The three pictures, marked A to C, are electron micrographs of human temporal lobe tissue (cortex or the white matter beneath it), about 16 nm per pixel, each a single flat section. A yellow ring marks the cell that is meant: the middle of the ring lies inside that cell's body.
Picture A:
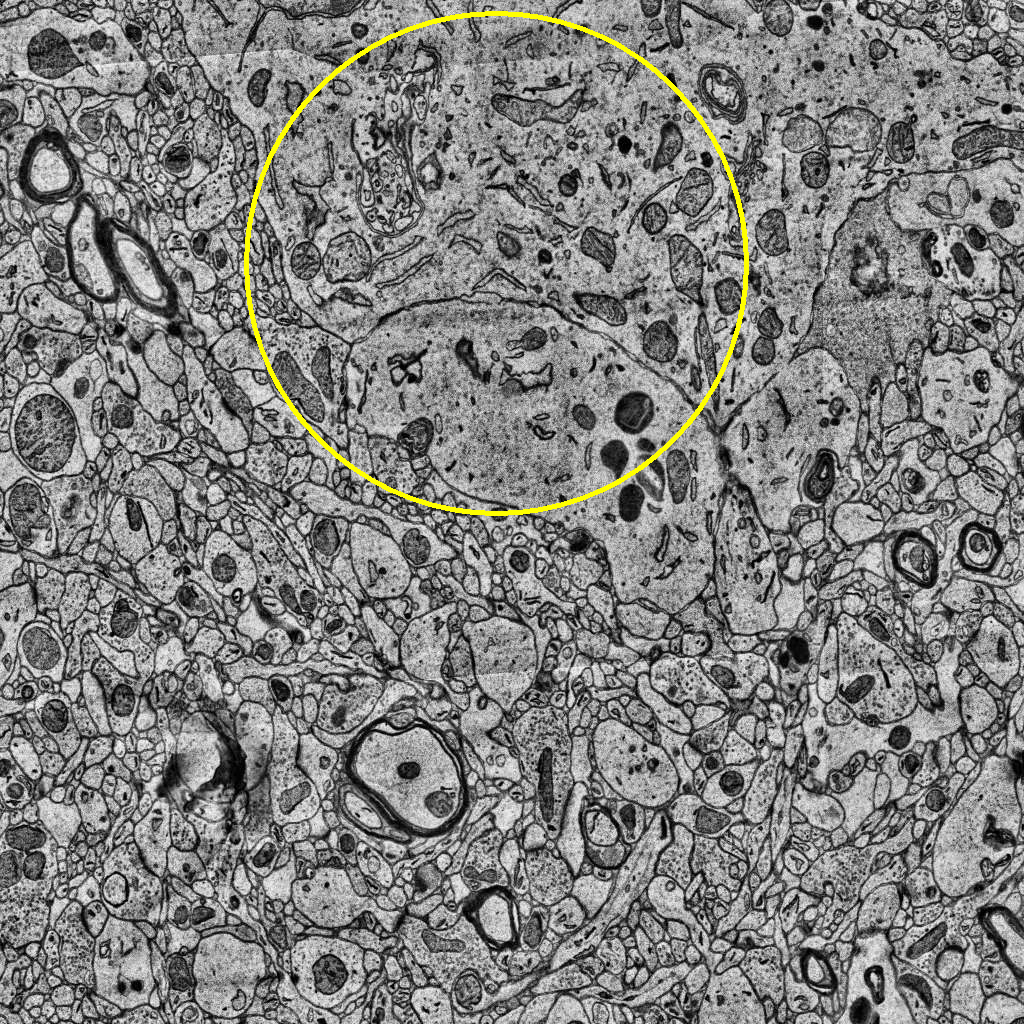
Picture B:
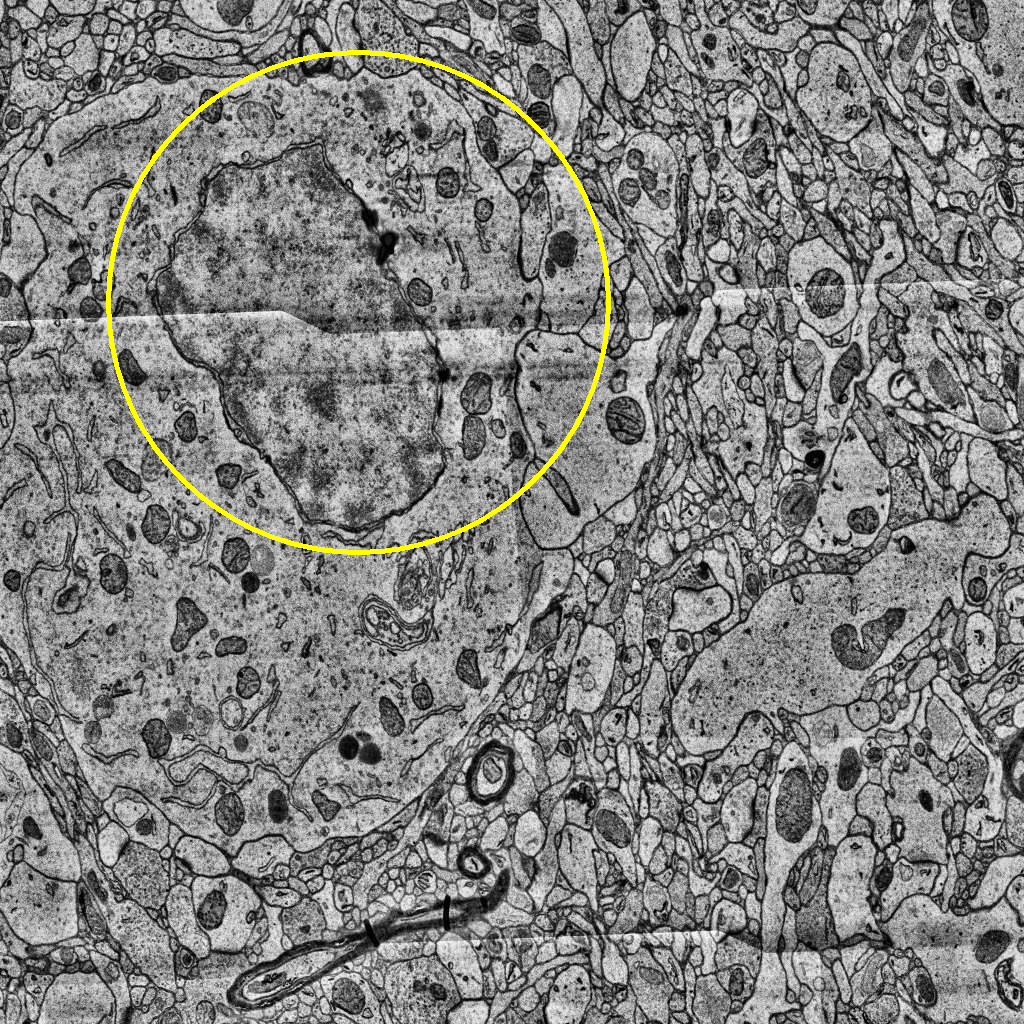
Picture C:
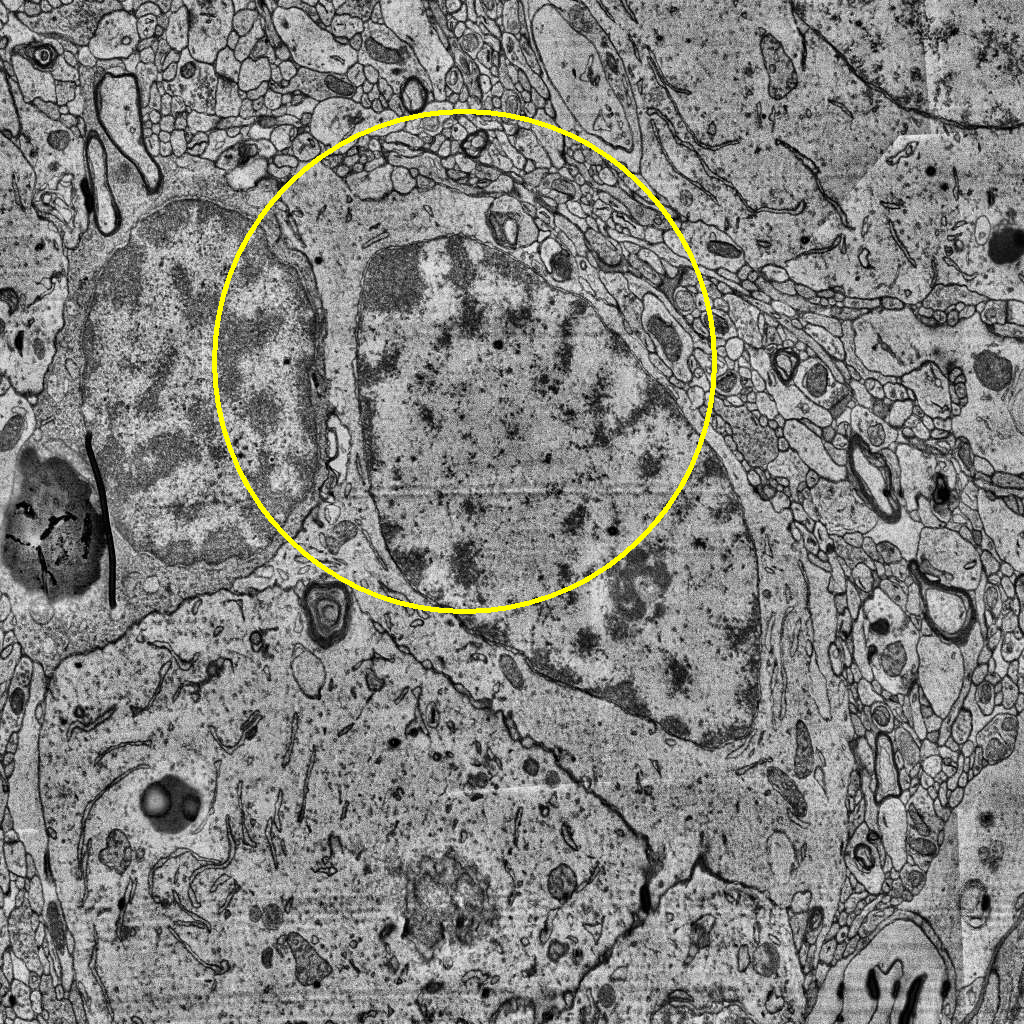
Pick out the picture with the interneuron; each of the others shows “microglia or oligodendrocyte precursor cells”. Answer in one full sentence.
Picture B is the one that shows the interneuron.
